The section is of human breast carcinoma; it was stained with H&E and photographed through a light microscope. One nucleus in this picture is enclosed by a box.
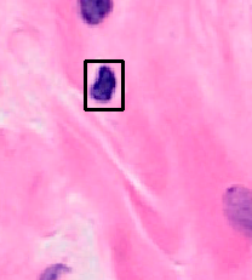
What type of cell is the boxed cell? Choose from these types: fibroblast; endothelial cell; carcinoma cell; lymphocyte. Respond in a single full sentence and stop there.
Among the cells in this section, the boxed cell is a lymphocyte.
